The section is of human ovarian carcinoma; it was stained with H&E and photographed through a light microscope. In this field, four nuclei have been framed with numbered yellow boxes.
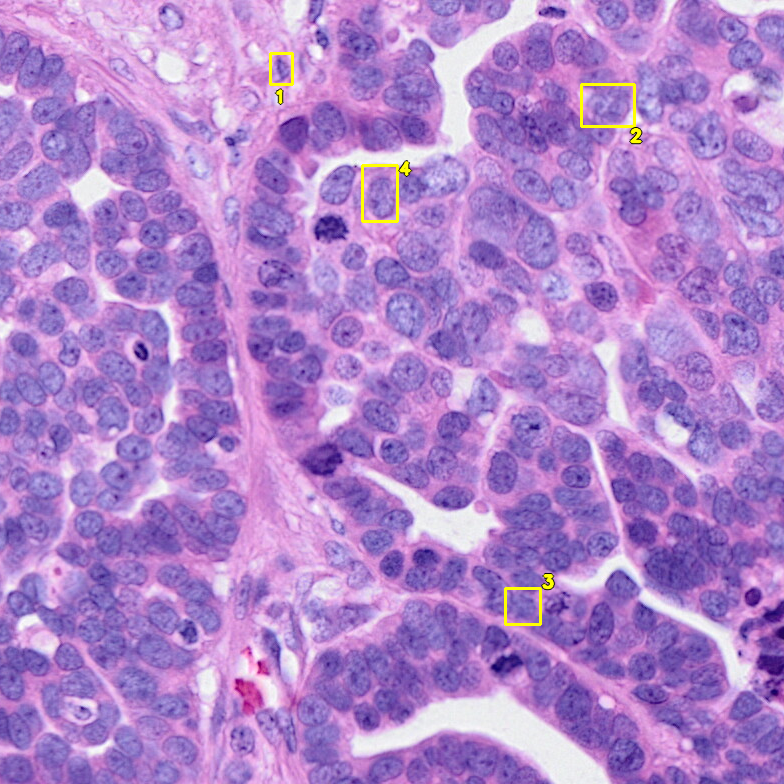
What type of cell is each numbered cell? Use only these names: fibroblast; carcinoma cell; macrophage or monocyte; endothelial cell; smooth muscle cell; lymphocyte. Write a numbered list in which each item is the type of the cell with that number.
1. fibroblast
2. carcinoma cell
3. carcinoma cell
4. carcinoma cell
